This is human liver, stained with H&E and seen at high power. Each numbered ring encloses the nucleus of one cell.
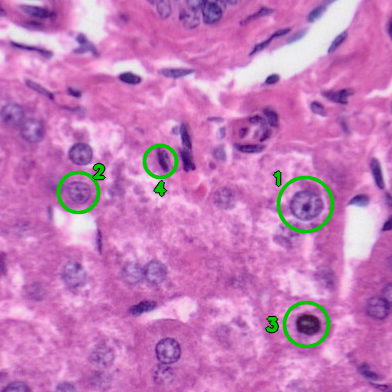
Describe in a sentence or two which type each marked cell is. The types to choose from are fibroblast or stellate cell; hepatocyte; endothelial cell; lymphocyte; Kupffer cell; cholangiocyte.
Cells 1, 2 and 3 are hepatocytes. Cell 4 is a fibroblast or stellate cell.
